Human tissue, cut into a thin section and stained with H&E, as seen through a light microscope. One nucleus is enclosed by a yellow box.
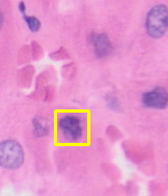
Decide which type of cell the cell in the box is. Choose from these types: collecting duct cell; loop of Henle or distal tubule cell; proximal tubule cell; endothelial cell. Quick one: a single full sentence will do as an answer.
Histopathologically, the cell in the box is a proximal tubule cell.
